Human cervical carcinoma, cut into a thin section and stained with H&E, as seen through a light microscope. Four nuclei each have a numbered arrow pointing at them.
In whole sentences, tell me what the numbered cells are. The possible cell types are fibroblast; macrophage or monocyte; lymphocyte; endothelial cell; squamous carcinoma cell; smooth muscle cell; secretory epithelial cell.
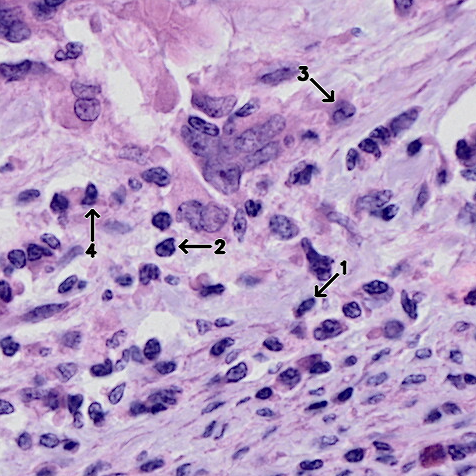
Cells 1, 2 and 4 are lymphocytes. Cell 3 is a macrophage or monocyte.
